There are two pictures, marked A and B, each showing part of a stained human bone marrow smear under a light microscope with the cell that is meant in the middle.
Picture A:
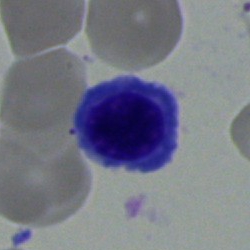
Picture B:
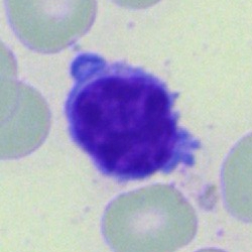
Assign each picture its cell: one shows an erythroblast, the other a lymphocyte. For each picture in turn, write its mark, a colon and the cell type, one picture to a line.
A: erythroblast
B: lymphocyte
